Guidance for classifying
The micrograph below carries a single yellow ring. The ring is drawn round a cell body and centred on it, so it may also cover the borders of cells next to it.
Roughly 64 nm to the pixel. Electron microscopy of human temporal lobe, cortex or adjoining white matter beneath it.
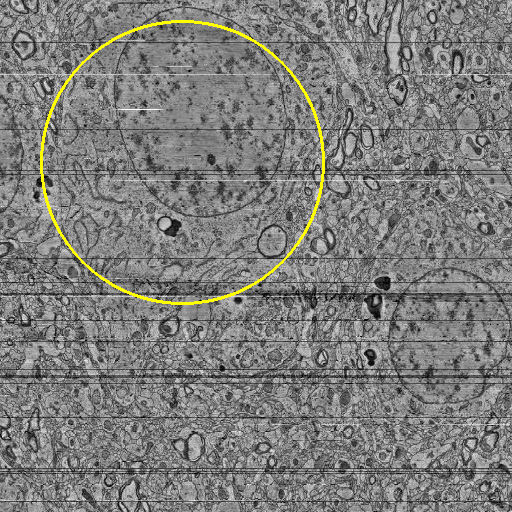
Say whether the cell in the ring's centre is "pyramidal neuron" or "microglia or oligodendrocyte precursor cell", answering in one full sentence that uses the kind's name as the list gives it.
Within the yellow ring, a pyramidal neuron is the cell whose body sits at the centre.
